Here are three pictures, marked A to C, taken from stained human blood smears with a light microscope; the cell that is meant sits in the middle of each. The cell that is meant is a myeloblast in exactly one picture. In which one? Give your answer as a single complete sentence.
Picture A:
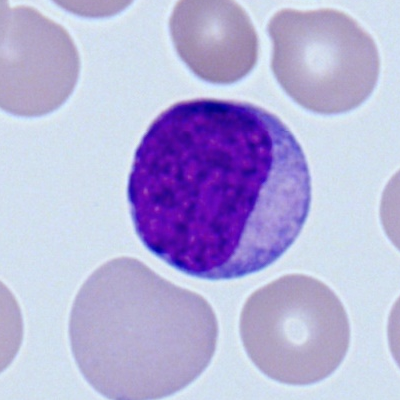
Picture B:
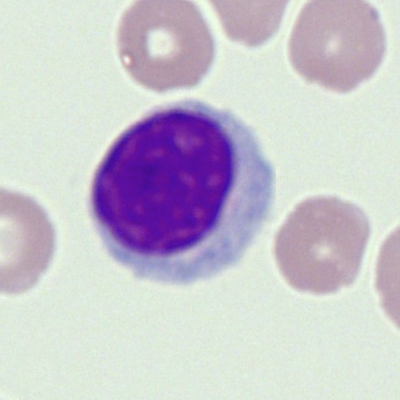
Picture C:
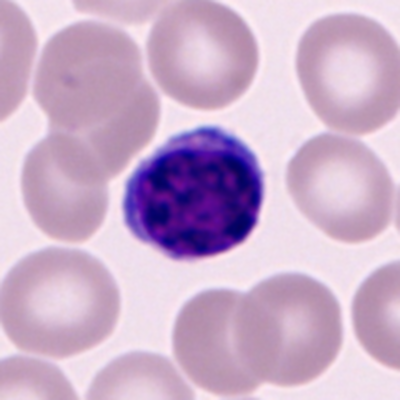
The myeloblast is the one in picture A.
